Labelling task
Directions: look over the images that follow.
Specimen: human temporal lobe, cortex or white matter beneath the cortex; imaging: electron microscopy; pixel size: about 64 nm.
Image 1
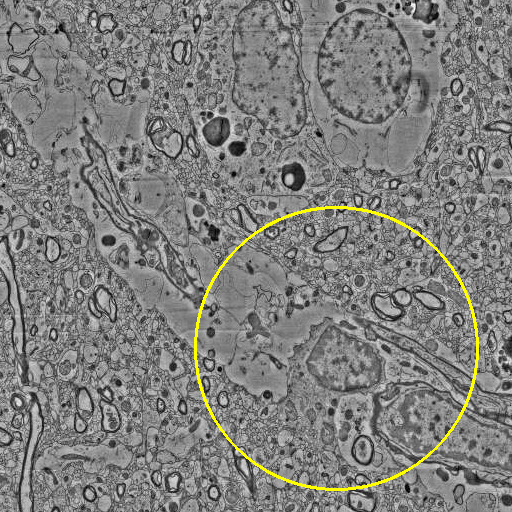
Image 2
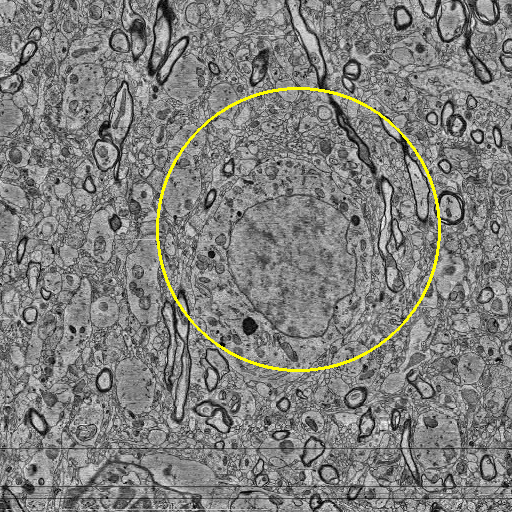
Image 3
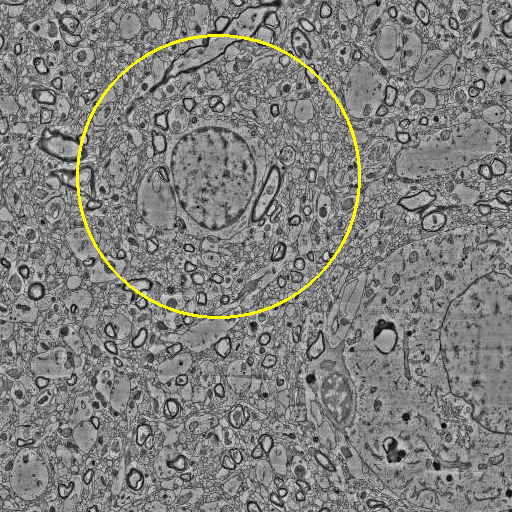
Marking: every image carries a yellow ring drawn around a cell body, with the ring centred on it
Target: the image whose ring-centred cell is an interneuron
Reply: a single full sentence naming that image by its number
The requested cell sits at the ring's centre in Image 2.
